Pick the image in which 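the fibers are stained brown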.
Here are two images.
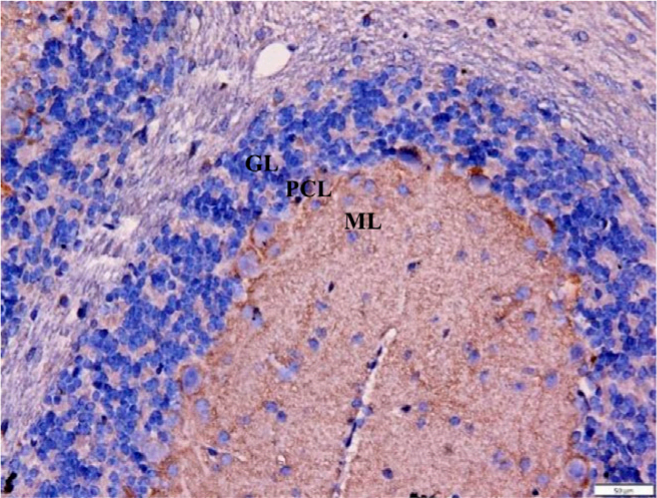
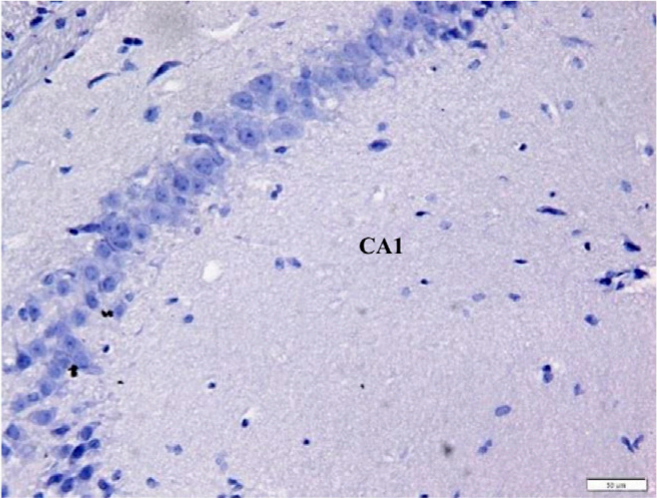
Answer: The first image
